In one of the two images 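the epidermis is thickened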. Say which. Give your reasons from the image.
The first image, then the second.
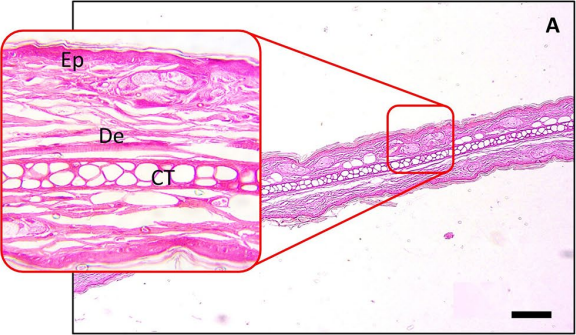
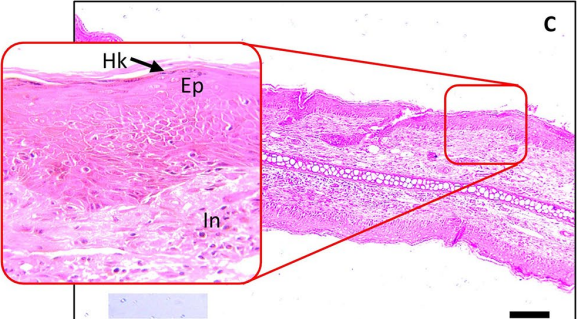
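Second image: the surface epithelium is a broad band many cells thick above a cellular dermis. First image: the surface epithelium is a thin pink line only a few cells thick.
The second image.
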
